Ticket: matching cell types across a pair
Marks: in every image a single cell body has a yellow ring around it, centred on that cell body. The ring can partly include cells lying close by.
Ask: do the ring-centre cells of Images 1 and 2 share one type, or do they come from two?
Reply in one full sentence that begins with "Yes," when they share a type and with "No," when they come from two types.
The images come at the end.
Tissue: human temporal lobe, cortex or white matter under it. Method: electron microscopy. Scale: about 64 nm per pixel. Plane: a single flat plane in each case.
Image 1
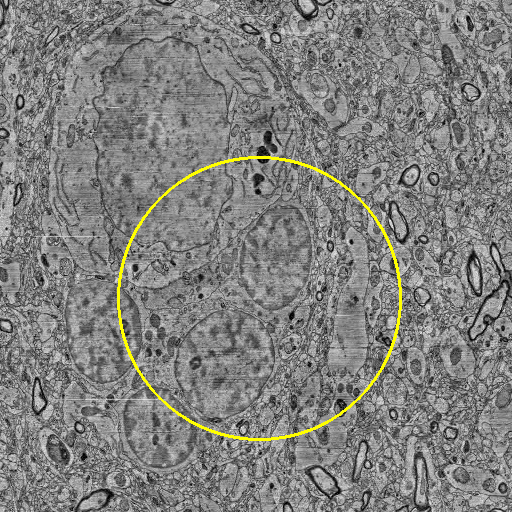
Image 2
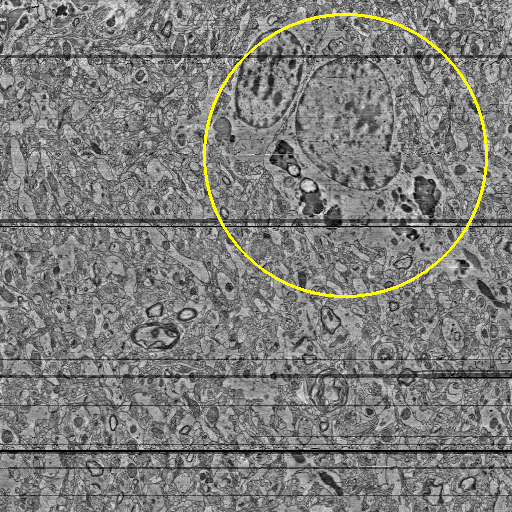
No, the cells in the centres of the rings in Image 1 and Image 2 come from two types.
